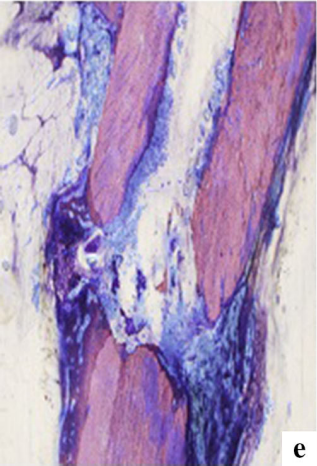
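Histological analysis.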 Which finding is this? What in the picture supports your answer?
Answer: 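A big gap. Pink bone ends are separated by a pale space. Blue-stained tissue surrounds the ends of the bone fragments.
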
